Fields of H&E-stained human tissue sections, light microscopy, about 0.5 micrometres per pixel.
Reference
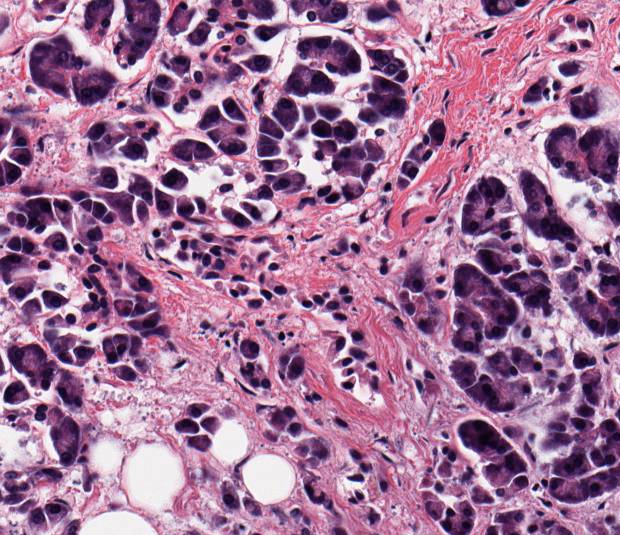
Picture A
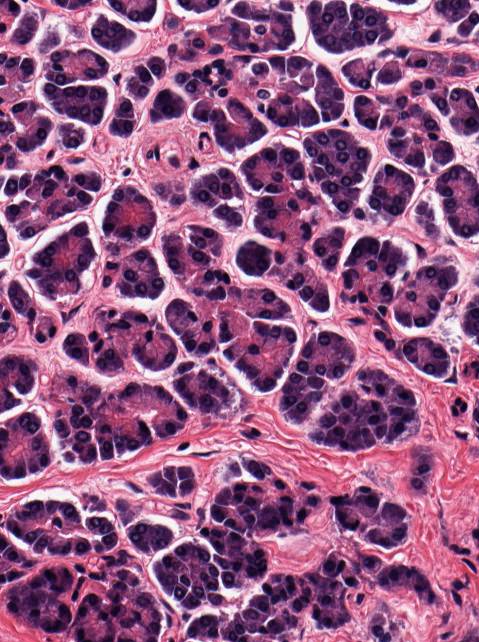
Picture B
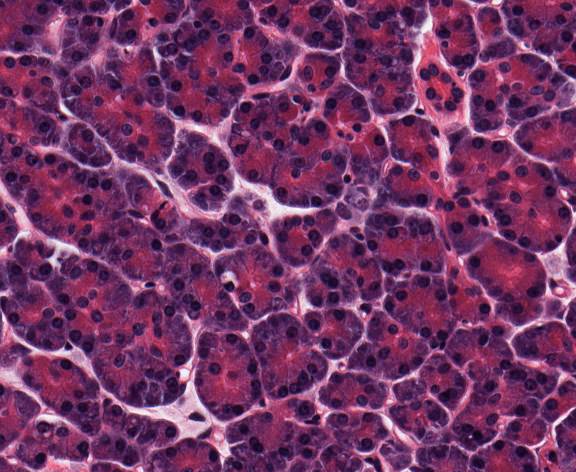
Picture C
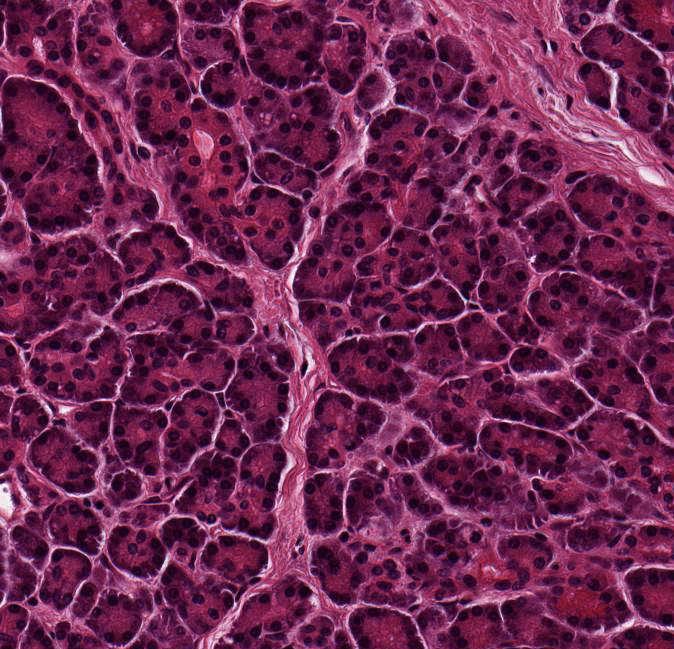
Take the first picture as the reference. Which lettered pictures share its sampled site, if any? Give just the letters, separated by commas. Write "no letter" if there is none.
A, B, C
